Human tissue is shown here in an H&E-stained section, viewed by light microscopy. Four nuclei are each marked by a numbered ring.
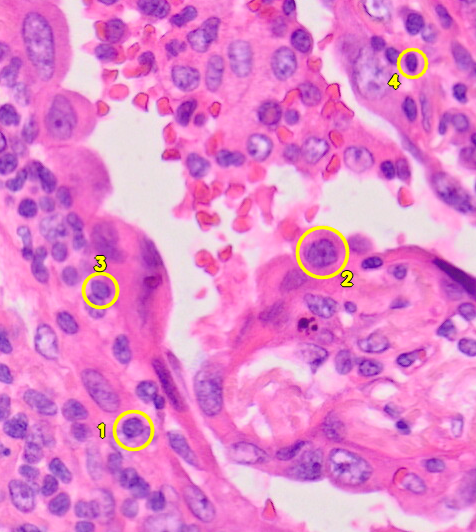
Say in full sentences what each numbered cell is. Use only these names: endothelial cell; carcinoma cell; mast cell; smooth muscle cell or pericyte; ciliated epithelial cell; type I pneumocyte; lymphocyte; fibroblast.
Cells 1, 3 and 4 are lymphocytes. Cell 2 is a carcinoma cell.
